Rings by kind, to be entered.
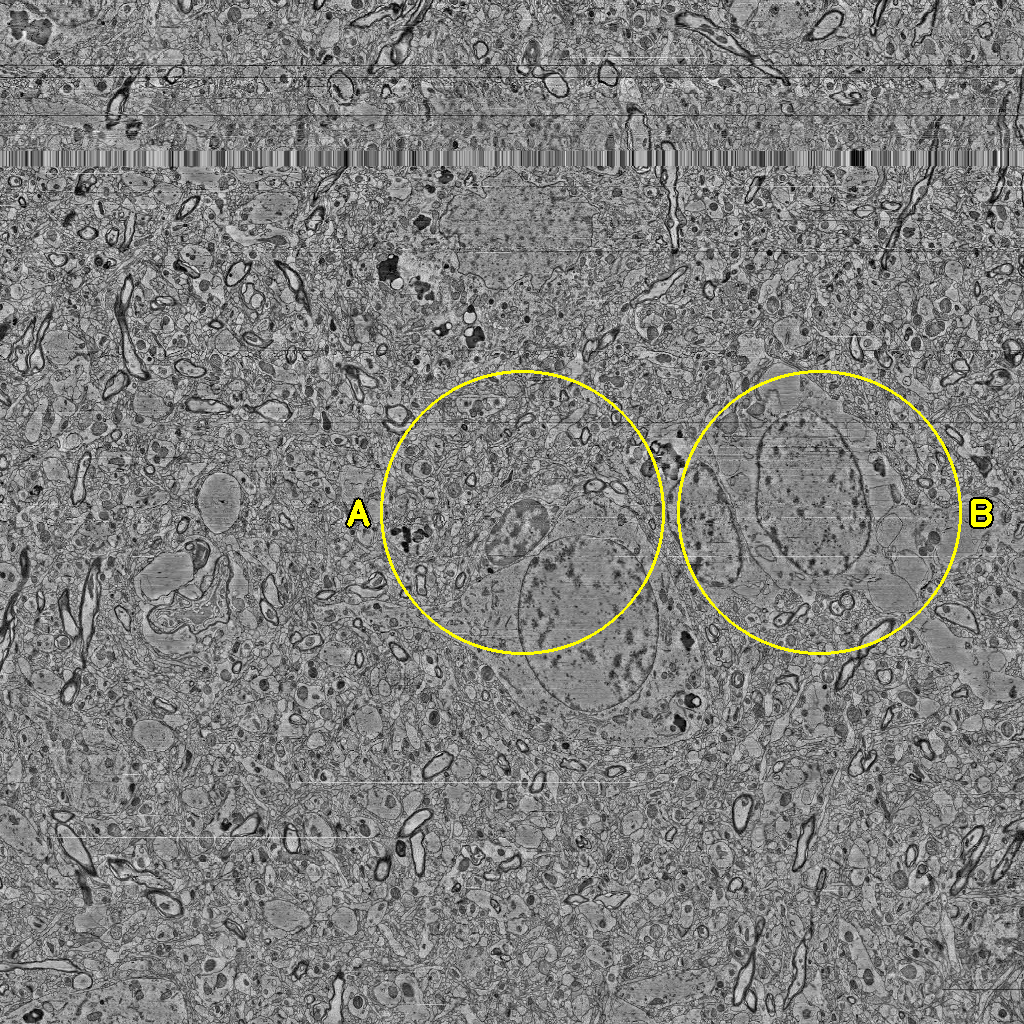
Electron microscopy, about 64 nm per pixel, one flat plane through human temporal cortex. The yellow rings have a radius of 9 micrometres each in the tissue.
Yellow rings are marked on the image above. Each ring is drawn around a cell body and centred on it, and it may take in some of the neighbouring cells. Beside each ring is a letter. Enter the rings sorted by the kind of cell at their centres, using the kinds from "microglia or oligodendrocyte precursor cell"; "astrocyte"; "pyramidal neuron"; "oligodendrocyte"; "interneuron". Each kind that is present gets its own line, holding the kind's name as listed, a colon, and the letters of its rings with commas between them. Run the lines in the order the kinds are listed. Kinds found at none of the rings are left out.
microglia or oligodendrocyte precursor cell: A
astrocyte: B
